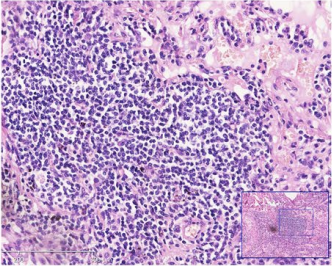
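This is lung tissue with a dense aggregate of lymphocytes forming a follicle-like nodule. The lymphocytes are small, round cells with dark purple, round nuclei and very little cytoplasm, packed closely together. Beside the aggregate, the lung tissue is looser, with pink-staining stroma and scattered cells.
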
